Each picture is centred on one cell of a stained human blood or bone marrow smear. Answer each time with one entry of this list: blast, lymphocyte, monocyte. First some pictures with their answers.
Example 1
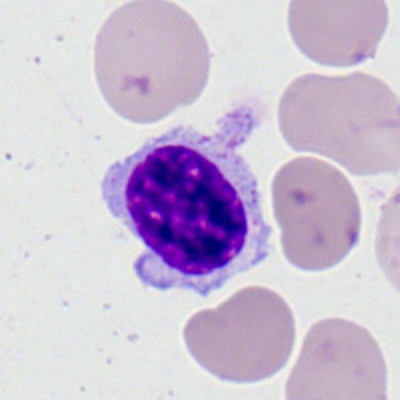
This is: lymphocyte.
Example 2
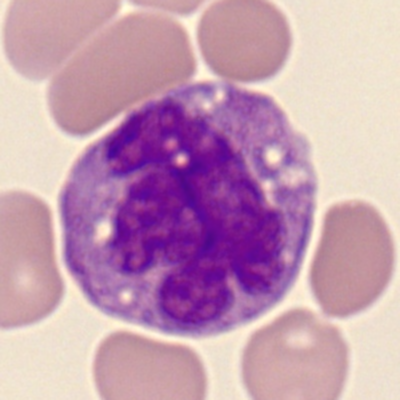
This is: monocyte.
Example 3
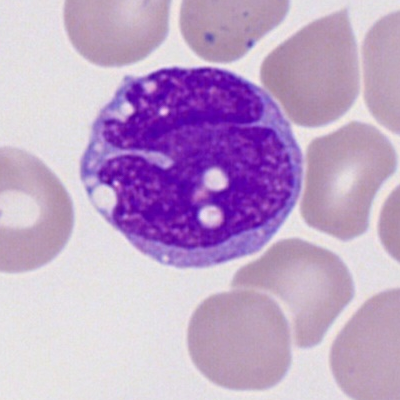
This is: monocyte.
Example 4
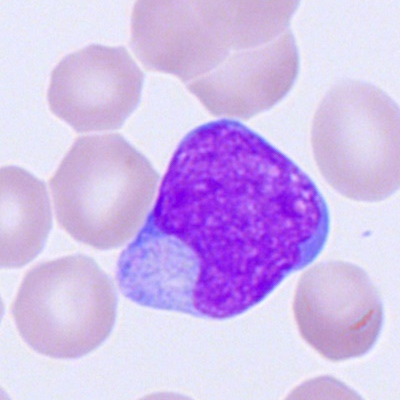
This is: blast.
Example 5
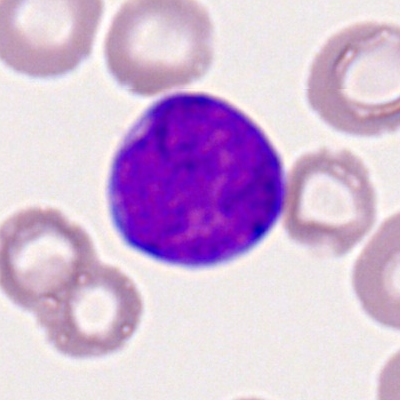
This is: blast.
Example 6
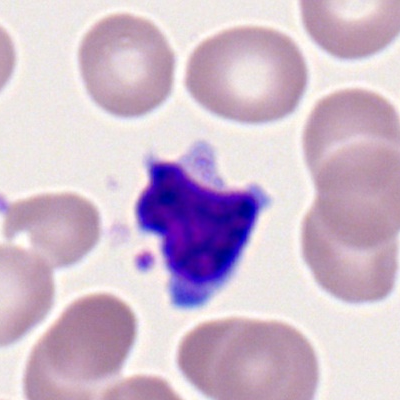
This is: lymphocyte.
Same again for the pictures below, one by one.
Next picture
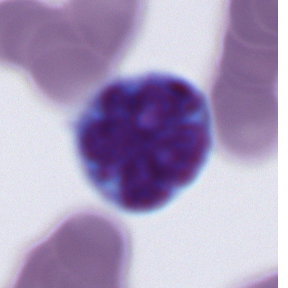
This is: lymphocyte.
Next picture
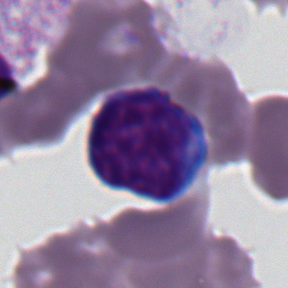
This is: lymphocyte.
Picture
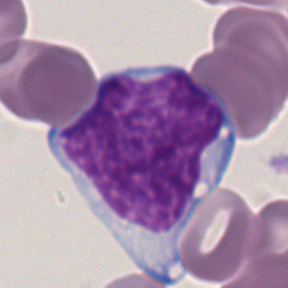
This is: blast.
